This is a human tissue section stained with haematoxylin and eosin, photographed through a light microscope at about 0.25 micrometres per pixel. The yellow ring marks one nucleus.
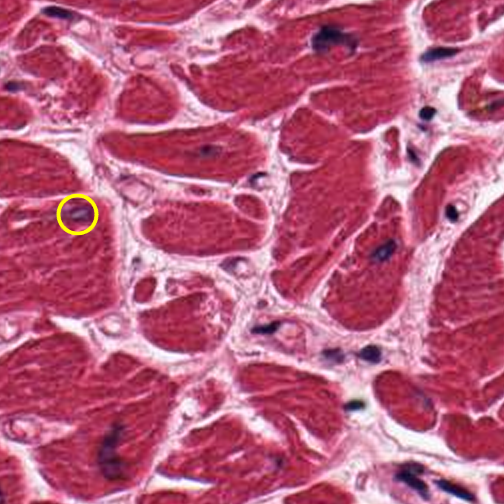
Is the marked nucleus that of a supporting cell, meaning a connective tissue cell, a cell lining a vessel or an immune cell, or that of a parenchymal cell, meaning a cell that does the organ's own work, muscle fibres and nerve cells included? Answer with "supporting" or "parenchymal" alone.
parenchymal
